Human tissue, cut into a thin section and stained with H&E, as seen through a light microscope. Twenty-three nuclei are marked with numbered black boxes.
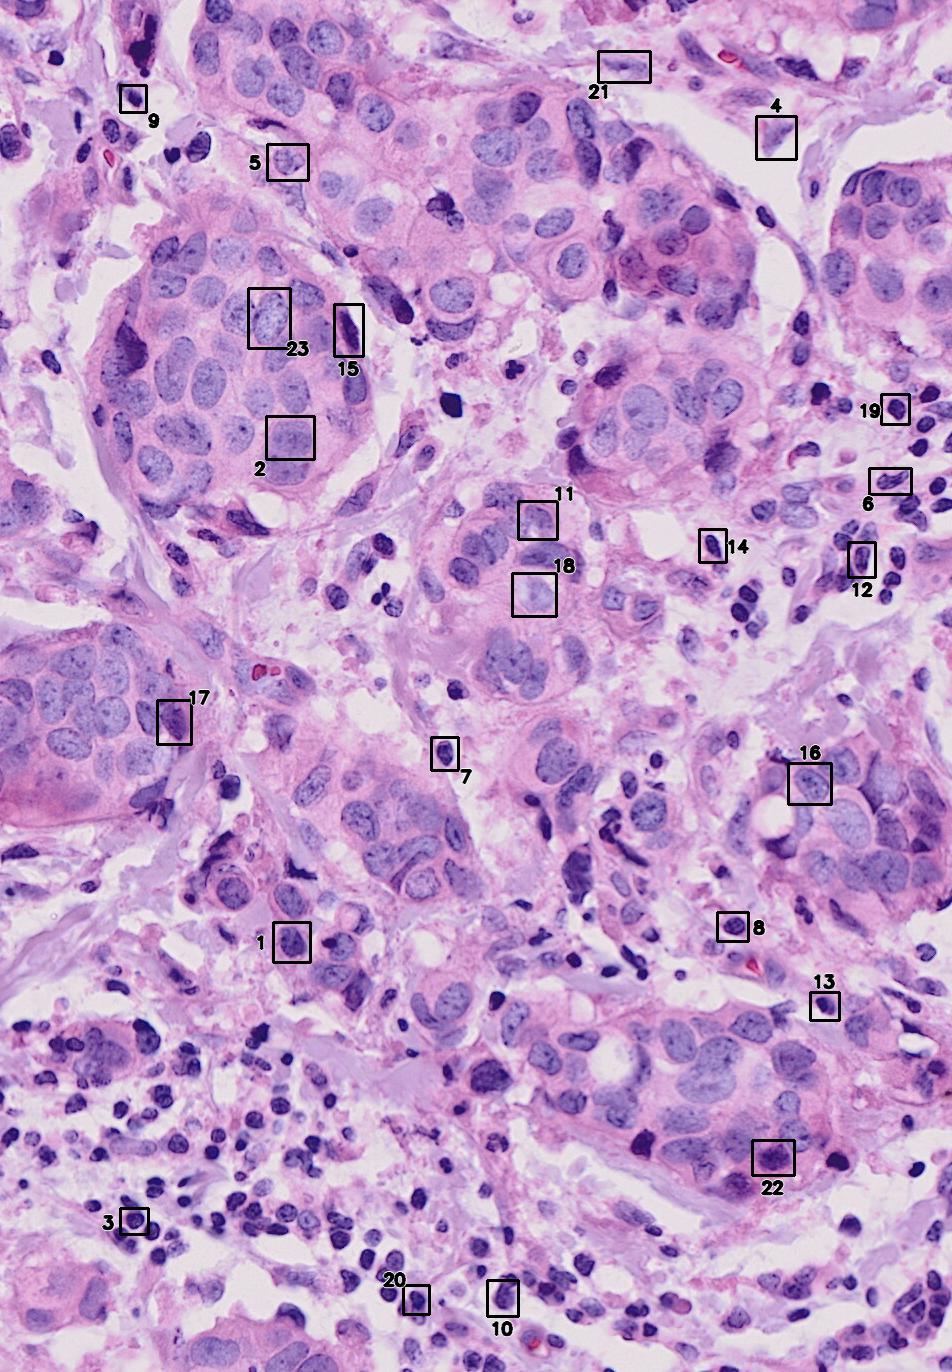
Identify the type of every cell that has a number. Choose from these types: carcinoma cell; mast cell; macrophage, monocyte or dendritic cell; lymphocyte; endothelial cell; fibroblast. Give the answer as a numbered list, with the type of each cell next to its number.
1. carcinoma cell
2. carcinoma cell
3. lymphocyte
4. fibroblast
5. macrophage, monocyte or dendritic cell
6. lymphocyte
7. lymphocyte
8. lymphocyte
9. lymphocyte
10. lymphocyte
11. carcinoma cell
12. lymphocyte
13. lymphocyte
14. lymphocyte
15. carcinoma cell
16. carcinoma cell
17. carcinoma cell
18. carcinoma cell
19. lymphocyte
20. lymphocyte
21. fibroblast
22. carcinoma cell
23. carcinoma cell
